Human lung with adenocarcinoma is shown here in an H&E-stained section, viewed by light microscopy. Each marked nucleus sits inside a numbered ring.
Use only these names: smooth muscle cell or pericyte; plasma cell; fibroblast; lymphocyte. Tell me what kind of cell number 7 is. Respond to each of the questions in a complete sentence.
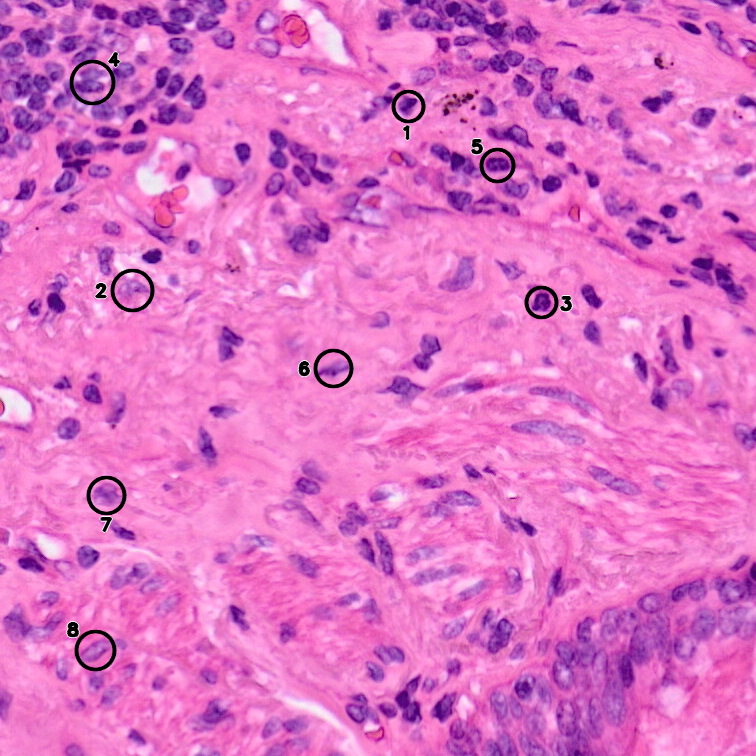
The cell marked with the number 7 is a fibroblast.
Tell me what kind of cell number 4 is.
The numbered cell 4 in this field is a lymphocyte.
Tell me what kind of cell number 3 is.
The identity of cell 3 is that of a plasma cell.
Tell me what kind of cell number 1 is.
Numbered cell 1 is a lymphocyte in this tissue section.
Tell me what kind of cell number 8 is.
The numbered cell 8 in this field is a smooth muscle cell or pericyte.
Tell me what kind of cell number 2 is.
The correct answer for cell 2 is a fibroblast.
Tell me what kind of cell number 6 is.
The cell tagged with 6 in this tissue section is a fibroblast.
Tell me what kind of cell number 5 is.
The cell identified by number 5 is a plasma cell.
